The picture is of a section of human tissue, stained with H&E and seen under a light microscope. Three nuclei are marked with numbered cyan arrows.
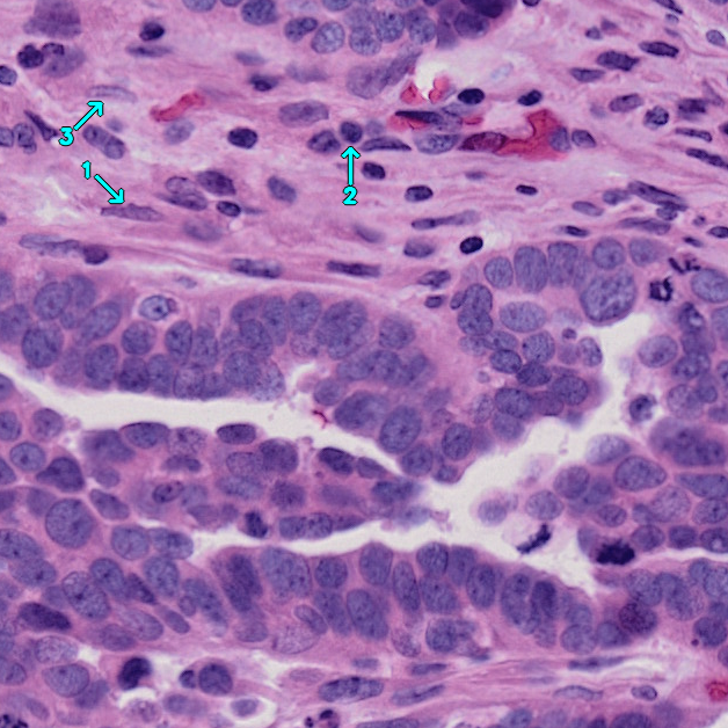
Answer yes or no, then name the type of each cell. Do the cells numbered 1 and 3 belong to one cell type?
Yes, cell 1 is one of the fibroblasts, and so is cell 3.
